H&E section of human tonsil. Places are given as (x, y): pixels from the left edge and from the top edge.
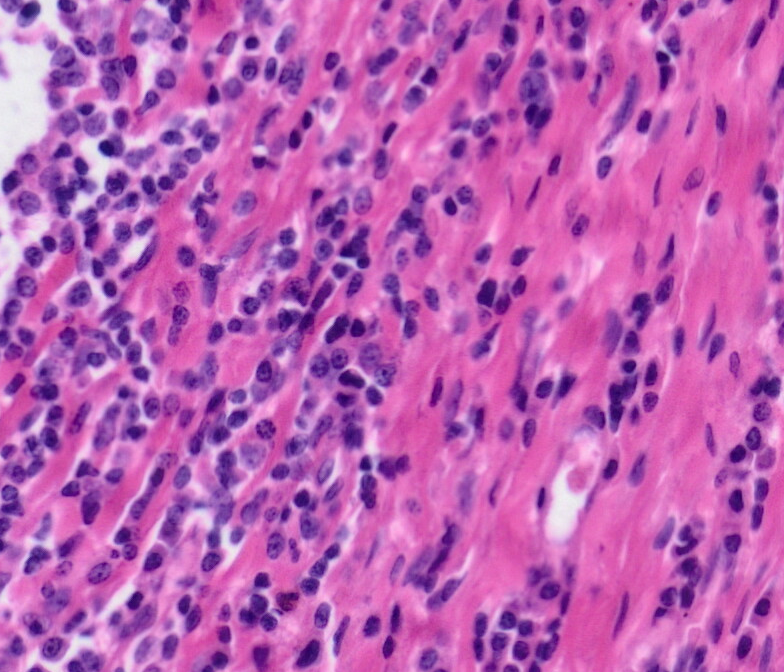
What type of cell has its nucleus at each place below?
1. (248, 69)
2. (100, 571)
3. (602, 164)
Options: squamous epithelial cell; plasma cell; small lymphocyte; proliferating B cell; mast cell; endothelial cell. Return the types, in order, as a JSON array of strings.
["plasma cell", "plasma cell", "mast cell"]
